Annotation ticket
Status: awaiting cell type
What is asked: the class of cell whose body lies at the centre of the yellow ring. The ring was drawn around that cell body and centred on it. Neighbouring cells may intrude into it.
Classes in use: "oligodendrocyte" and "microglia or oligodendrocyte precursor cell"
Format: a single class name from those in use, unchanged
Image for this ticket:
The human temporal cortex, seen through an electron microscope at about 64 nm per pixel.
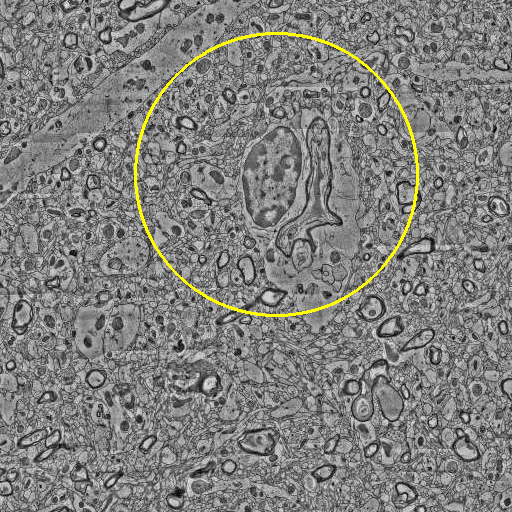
microglia or oligodendrocyte precursor cell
